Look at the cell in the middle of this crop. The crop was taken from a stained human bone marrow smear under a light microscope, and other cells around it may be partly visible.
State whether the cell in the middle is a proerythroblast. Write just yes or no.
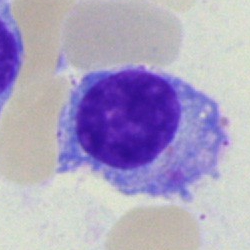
no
